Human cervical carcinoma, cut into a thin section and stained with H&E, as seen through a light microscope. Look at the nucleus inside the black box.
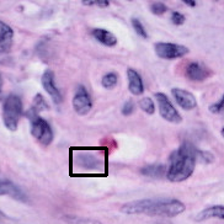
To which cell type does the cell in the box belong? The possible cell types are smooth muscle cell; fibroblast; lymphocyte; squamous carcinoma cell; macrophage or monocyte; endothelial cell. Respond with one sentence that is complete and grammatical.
In the stained section, the cell in the box is an endothelial cell.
